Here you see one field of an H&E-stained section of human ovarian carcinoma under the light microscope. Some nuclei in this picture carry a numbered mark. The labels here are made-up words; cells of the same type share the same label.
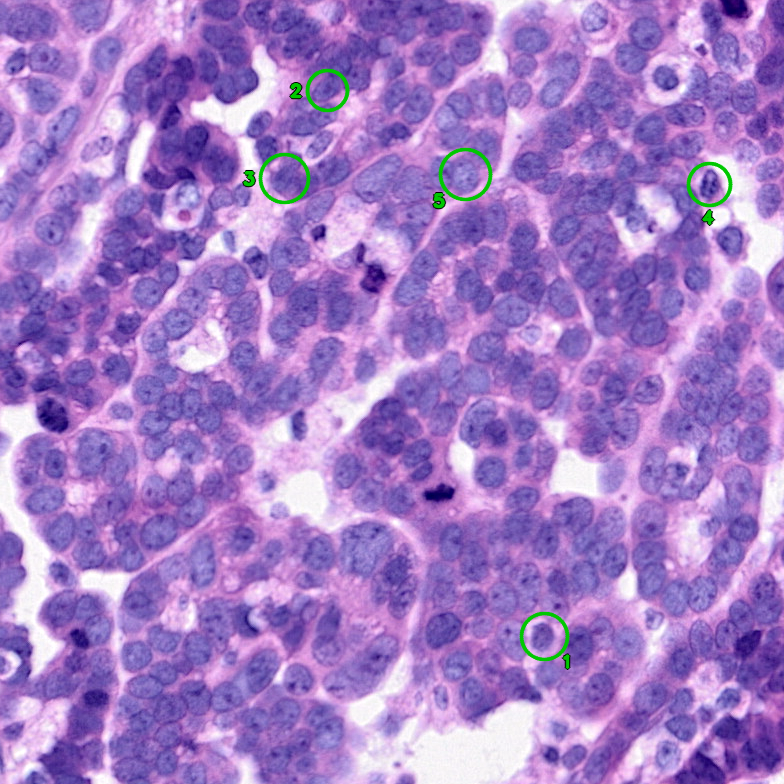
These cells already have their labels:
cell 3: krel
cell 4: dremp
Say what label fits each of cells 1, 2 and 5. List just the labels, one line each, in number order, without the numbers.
dremp
krel
krel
